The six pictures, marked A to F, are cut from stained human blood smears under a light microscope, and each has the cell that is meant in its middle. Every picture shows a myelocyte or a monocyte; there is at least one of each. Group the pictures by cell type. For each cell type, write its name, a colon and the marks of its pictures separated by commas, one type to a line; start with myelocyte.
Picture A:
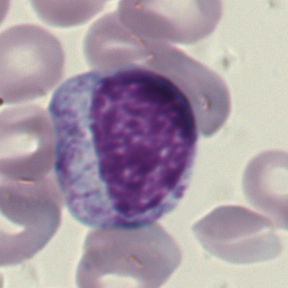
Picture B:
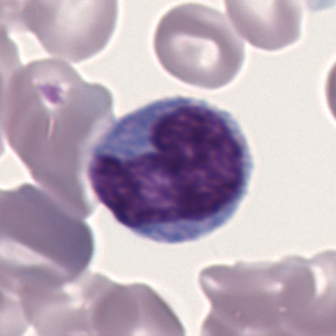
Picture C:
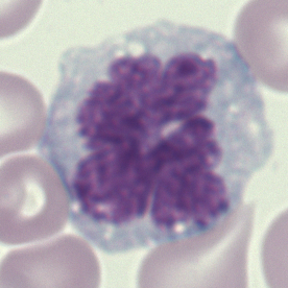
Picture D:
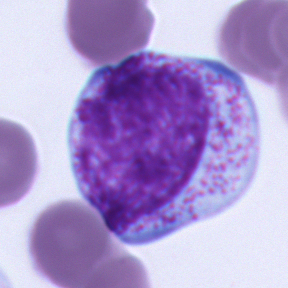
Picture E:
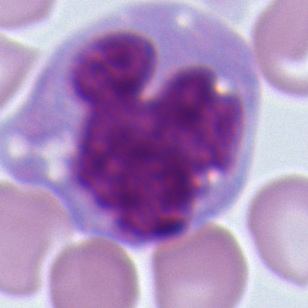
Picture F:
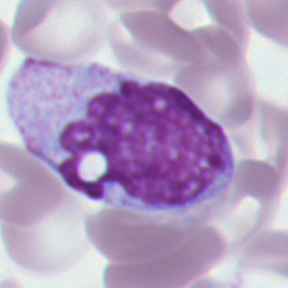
myelocyte: A, D
monocyte: B, C, E, F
